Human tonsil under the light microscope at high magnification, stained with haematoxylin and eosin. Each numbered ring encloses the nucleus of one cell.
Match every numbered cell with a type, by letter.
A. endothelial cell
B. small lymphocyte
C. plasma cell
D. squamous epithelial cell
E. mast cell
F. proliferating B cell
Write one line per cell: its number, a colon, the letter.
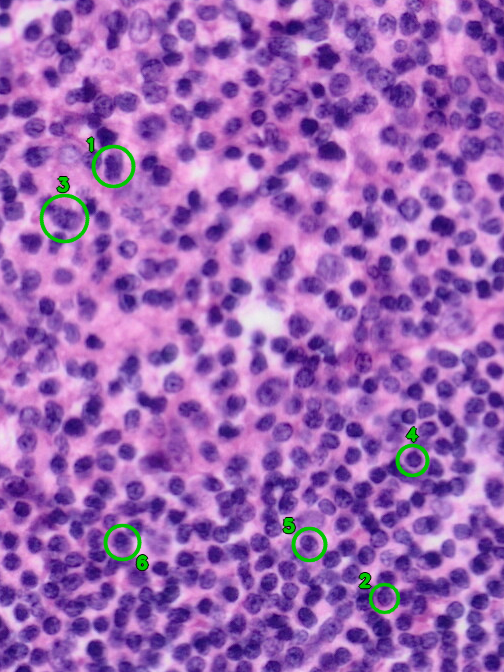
1: F
2: B
3: F
4: B
5: B
6: B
